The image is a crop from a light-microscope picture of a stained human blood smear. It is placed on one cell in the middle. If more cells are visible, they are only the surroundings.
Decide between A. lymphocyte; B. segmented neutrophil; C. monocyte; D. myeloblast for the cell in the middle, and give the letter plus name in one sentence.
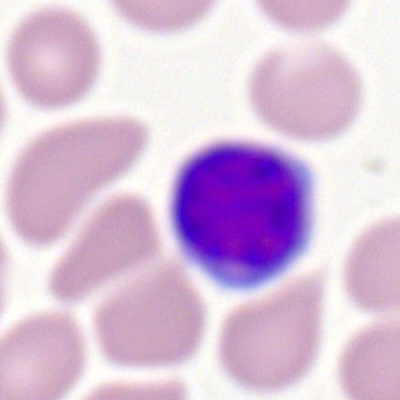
The cell right in the middle is a lymphocyte, so option A is the one.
